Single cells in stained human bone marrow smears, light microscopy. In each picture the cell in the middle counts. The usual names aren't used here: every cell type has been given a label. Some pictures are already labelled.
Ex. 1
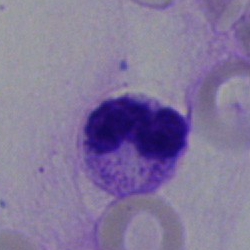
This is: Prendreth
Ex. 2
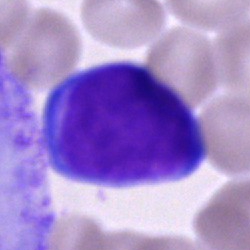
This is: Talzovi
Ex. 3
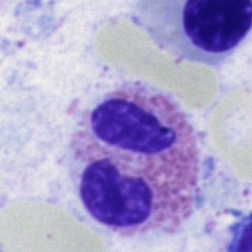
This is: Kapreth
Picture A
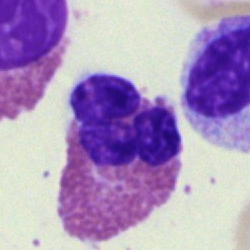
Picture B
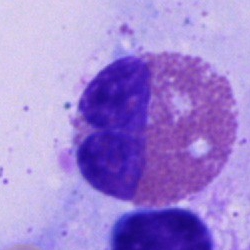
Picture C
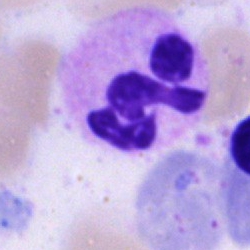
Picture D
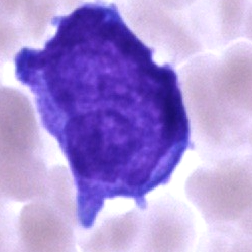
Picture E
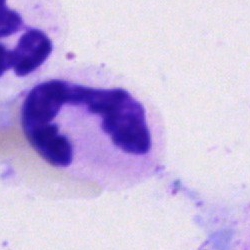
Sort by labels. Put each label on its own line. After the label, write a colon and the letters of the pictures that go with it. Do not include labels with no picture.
Prendreth: C, E
Talzovi: D
Kapreth: A, B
